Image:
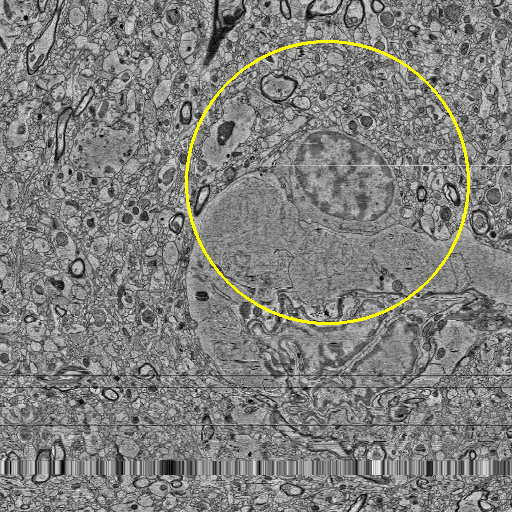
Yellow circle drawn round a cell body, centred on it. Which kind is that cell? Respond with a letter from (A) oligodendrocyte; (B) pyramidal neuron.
A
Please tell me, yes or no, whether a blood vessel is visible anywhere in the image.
Yes, a vessel shows somewhere in the image.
